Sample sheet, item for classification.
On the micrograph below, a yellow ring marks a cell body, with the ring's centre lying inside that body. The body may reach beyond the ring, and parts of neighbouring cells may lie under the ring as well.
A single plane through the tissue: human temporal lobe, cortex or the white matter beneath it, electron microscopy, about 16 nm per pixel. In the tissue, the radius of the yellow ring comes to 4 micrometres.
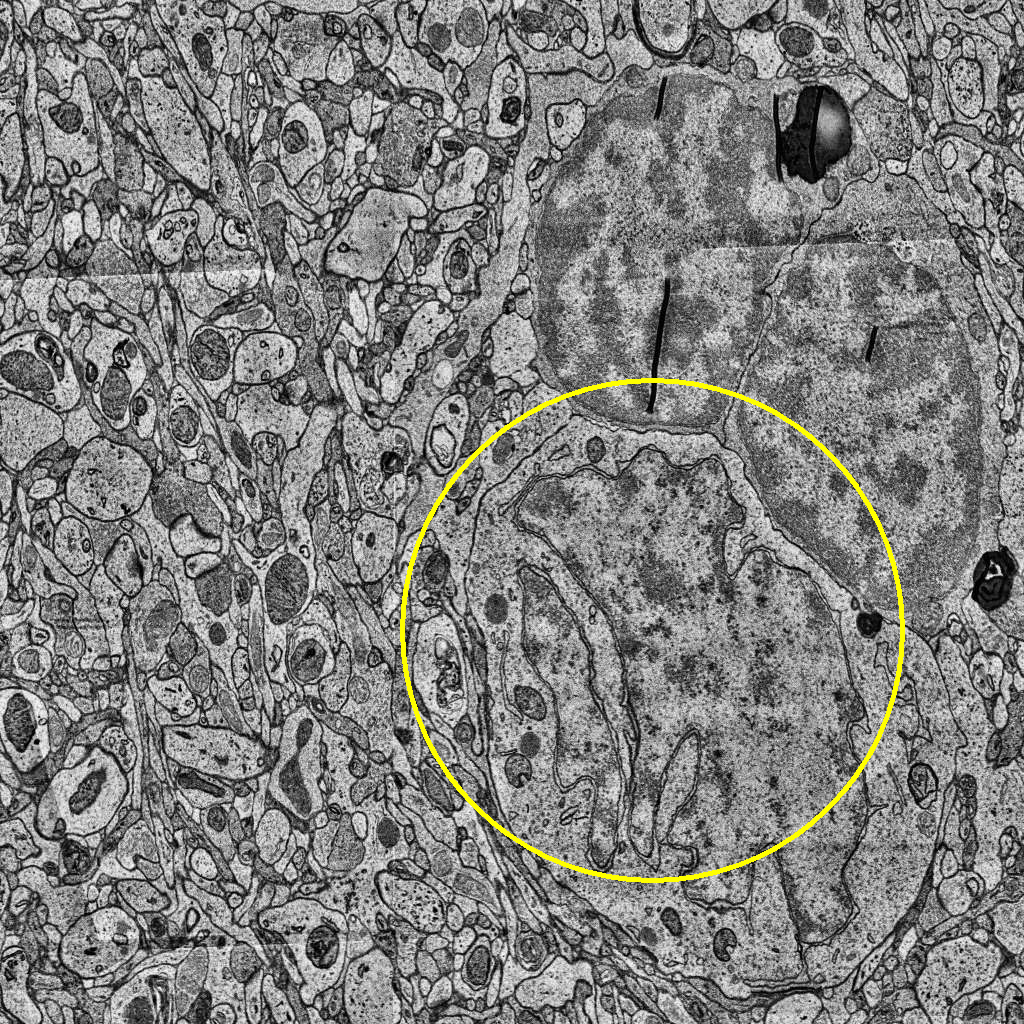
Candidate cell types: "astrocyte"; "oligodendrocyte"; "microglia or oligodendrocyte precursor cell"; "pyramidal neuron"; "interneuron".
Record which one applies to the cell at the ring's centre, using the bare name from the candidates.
interneuron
